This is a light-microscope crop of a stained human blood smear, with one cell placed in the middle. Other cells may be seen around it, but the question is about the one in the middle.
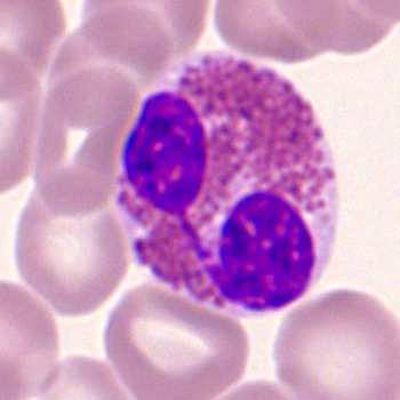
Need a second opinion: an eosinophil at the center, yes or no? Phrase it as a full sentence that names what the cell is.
Yes, the identity of the central cell is that of an eosinophil.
